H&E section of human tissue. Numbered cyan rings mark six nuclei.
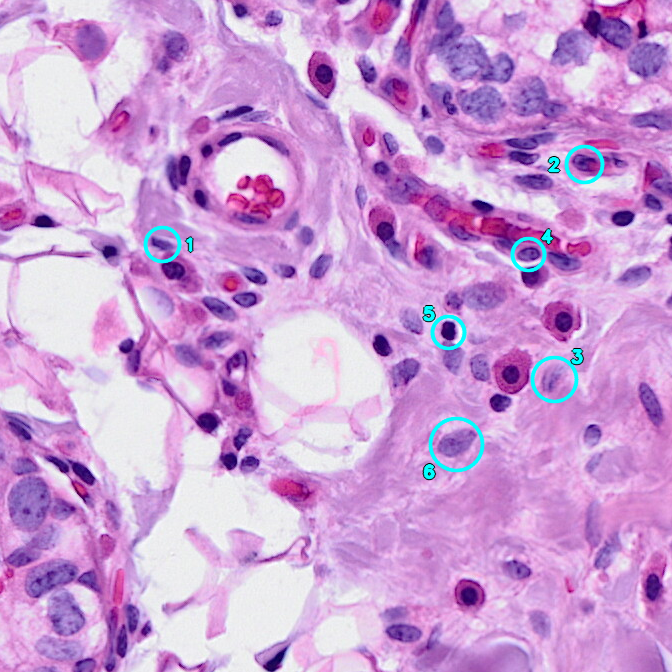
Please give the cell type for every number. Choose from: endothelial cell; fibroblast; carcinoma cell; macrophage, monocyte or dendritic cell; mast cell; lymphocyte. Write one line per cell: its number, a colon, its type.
1: fibroblast
2: endothelial cell
3: fibroblast
4: endothelial cell
5: lymphocyte
6: fibroblast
